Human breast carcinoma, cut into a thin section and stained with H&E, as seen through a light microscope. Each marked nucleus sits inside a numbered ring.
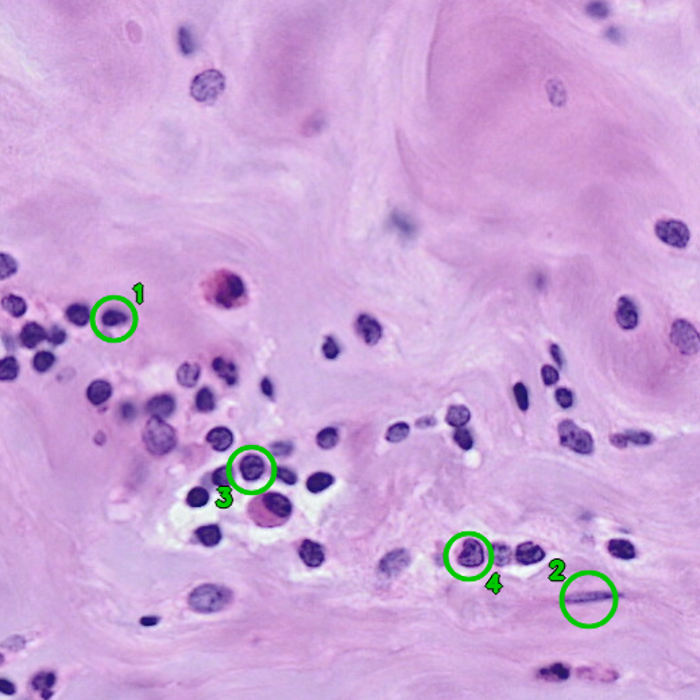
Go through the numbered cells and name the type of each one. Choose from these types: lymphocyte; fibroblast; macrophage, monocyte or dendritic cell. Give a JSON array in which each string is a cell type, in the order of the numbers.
["lymphocyte", "fibroblast", "lymphocyte", "lymphocyte"]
